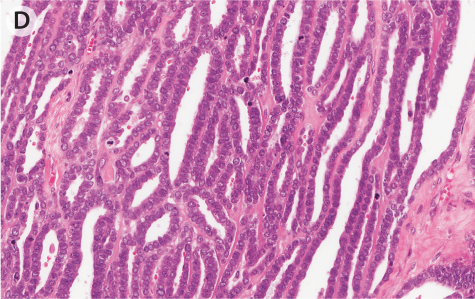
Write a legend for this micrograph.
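A gland-forming carcinoma with long, narrow, parallel tubules lined by a single layer of cuboidal epithelial cells. The nuclei are round to oval and crowded, with purple chromatin, and the thin strips of pink stroma run between the tubules; the lumens are mostly empty.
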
